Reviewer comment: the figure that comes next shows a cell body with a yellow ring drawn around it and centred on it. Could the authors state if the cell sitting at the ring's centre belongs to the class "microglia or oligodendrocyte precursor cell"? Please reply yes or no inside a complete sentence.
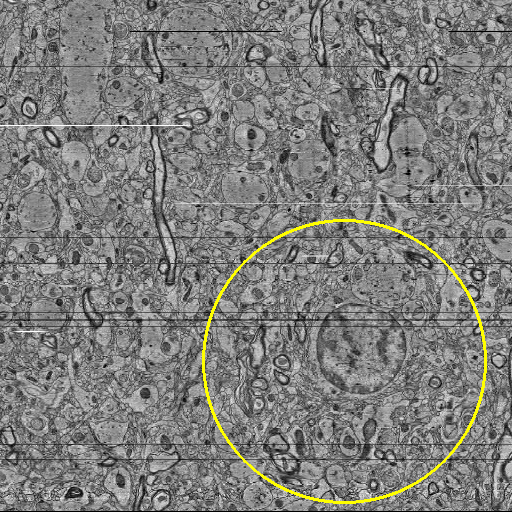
No, in the figure, the cell at the ring's centre belongs to a different class.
